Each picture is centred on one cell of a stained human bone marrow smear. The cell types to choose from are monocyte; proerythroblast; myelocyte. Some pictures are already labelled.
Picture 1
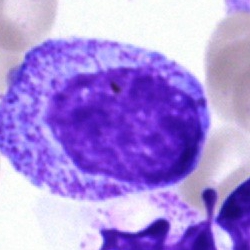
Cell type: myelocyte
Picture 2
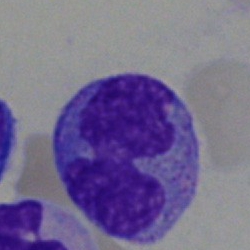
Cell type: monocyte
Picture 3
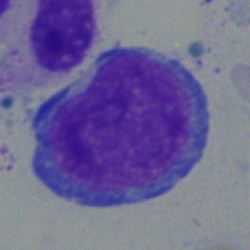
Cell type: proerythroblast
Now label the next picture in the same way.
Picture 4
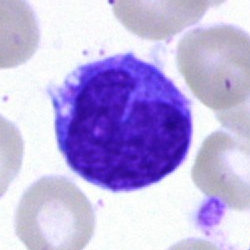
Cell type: monocyte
